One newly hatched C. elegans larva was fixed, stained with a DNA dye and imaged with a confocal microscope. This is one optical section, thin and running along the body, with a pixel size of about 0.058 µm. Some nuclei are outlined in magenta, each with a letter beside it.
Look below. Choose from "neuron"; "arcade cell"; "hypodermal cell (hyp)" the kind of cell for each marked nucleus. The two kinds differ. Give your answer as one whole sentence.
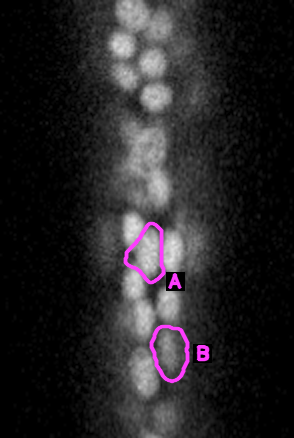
Nucleus A comes from a neuron and nucleus B from an arcade cell.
